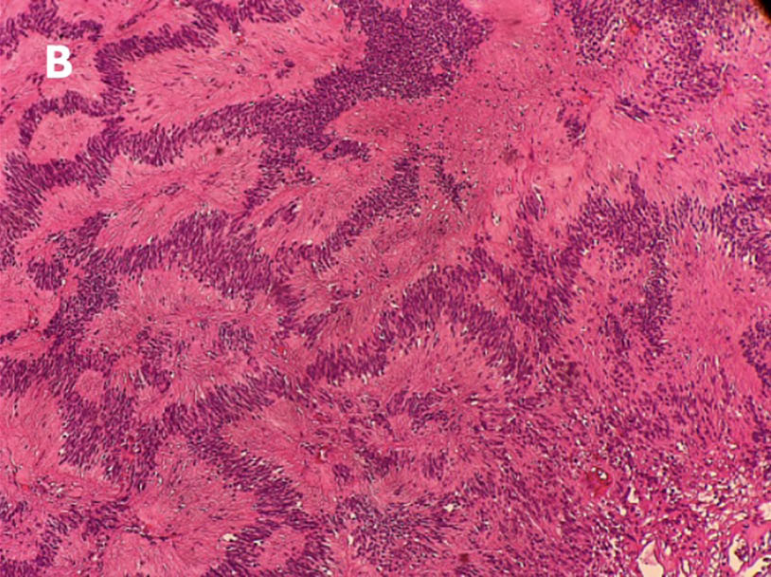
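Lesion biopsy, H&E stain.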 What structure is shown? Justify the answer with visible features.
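Rows of elongated dark nuclei lined up in parallel palisades. The palisades alternate with pink nucleus-free fibrillary zones.
Conclusion: Verocay bodies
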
